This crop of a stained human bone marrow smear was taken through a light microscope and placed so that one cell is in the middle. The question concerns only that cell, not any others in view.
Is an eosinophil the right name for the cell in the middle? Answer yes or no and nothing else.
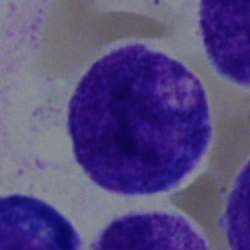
no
